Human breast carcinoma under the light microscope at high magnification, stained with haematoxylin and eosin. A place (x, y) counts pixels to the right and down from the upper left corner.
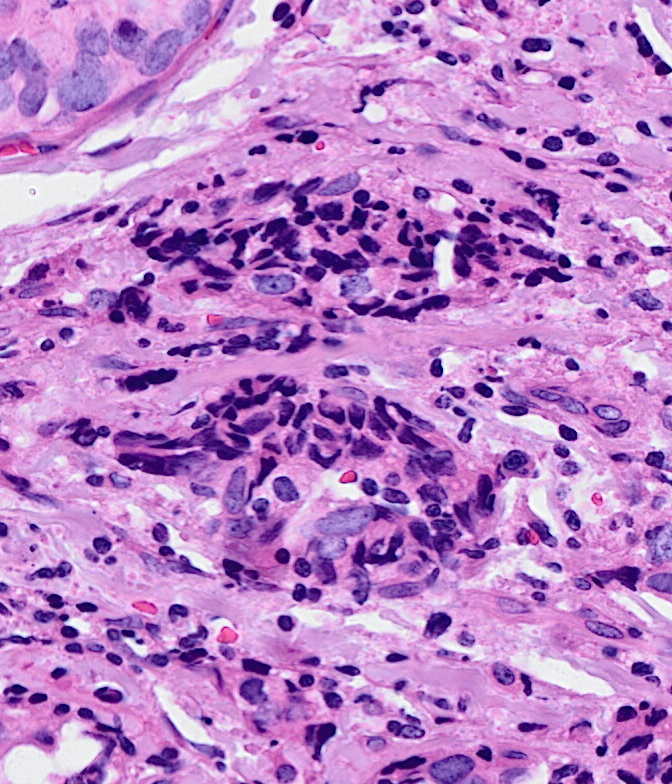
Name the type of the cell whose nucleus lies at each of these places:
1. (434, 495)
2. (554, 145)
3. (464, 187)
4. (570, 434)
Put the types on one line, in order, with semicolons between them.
carcinoma cell; lymphocyte; lymphocyte; lymphocyte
